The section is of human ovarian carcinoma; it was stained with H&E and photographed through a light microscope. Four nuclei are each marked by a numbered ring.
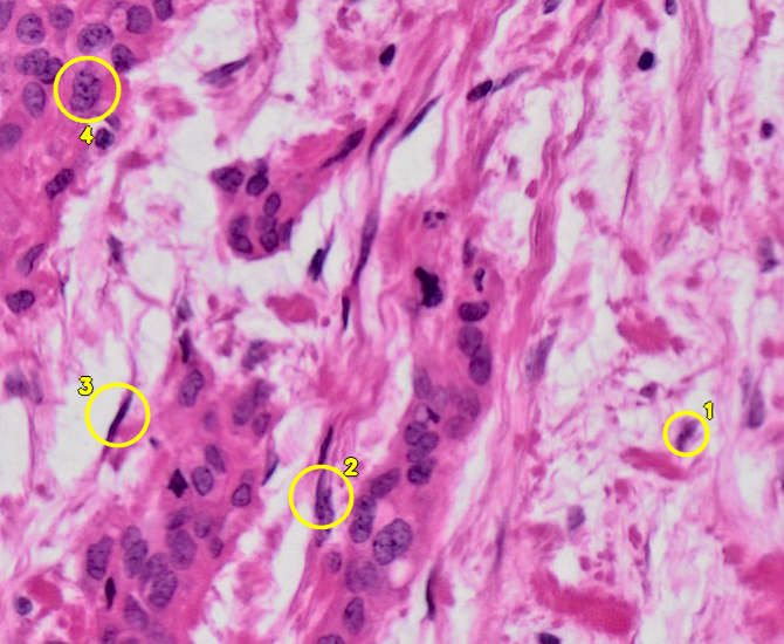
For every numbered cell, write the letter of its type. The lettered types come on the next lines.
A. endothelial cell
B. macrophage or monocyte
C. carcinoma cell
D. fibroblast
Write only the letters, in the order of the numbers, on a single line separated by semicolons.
D; D; D; C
